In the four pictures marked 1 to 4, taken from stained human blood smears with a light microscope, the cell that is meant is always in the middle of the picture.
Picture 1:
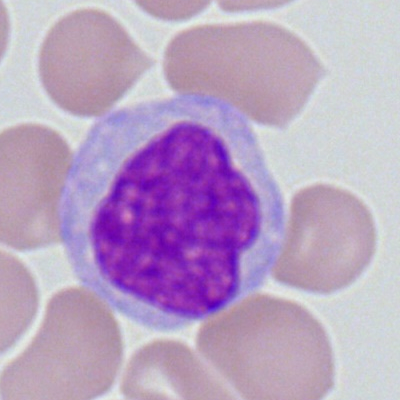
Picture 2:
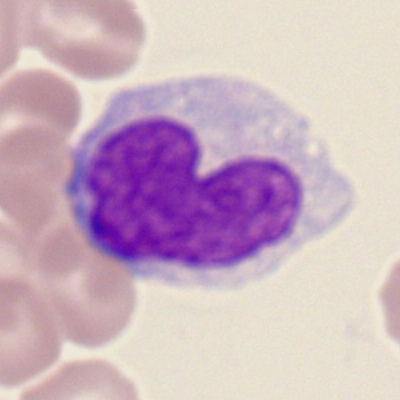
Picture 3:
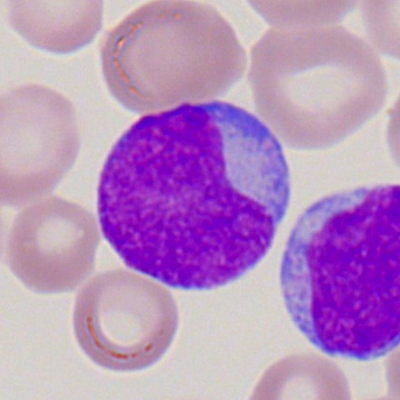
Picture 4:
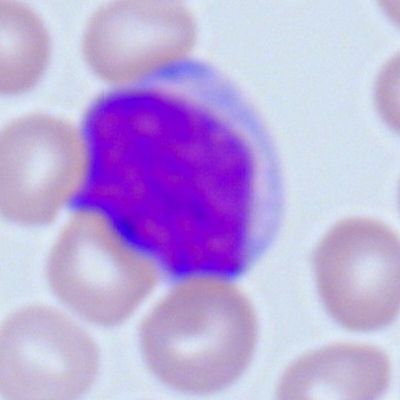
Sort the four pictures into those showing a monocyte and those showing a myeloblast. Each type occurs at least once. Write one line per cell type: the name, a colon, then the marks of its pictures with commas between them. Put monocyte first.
monocyte: 1, 2
myeloblast: 3, 4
